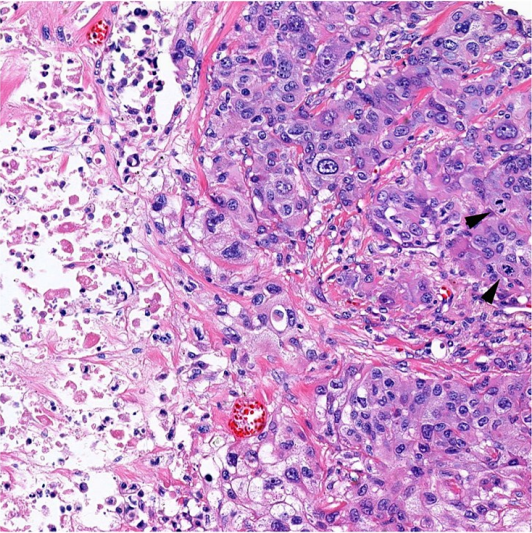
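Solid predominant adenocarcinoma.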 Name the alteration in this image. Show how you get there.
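Necrosis. The left side is a pale, loose area of debris with scattered fragmented cells. Cells there lack the cohesive sheet arrangement of the viable tumor on the right.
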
